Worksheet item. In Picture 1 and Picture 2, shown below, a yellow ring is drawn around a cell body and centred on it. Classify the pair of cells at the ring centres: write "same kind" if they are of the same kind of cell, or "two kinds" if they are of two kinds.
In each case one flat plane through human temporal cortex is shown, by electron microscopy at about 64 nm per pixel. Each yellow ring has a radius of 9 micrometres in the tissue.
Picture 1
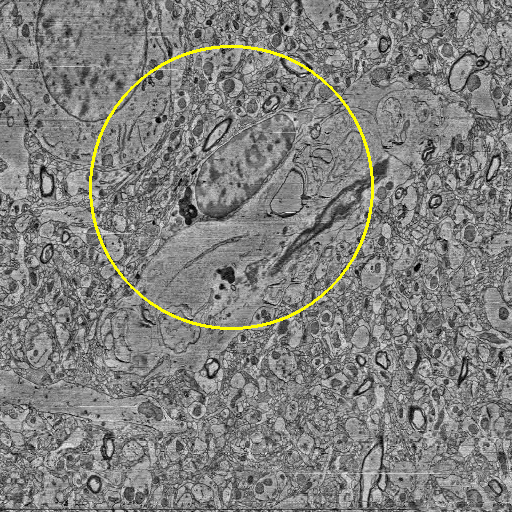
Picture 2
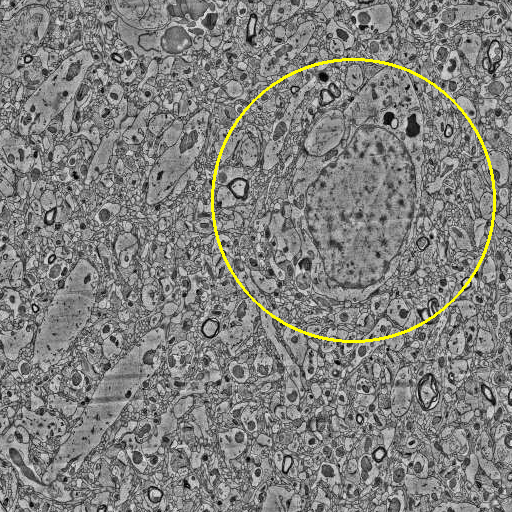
two kinds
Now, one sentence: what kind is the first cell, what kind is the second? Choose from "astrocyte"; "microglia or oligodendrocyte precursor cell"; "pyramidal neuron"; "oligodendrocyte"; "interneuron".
The first picture has a microglial cell or oligodendrocyte precursor cell at its ring centre, and the second has an interneuron.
